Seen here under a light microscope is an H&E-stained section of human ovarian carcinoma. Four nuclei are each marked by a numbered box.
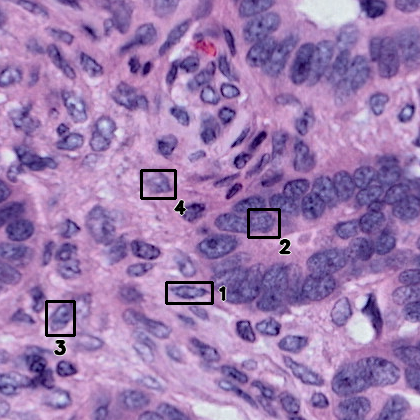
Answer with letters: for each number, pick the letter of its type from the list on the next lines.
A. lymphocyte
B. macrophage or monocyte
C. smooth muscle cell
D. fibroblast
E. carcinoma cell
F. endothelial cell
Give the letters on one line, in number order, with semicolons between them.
D; E; D; D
